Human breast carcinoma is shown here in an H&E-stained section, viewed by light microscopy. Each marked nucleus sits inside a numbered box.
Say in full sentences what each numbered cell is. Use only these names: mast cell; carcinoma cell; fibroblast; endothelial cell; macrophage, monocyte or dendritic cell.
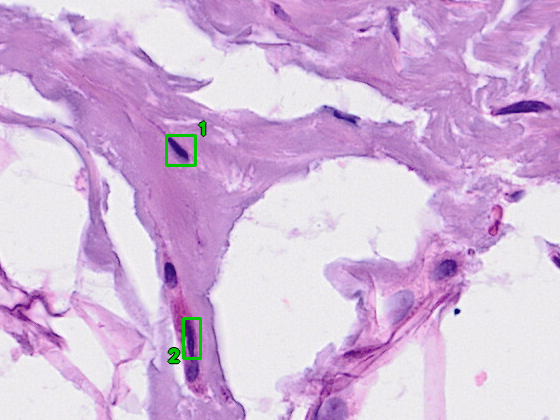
Cell 1 is a fibroblast. Cell 2 is an endothelial cell.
